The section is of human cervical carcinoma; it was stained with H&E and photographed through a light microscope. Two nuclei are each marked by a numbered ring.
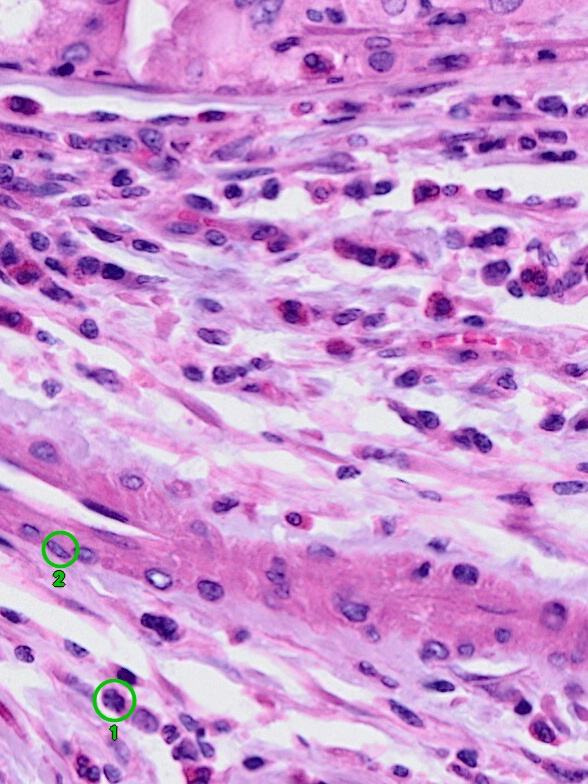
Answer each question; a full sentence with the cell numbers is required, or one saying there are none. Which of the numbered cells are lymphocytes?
Just one numbered cell is a lymphocyte, and that cell is number 1.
